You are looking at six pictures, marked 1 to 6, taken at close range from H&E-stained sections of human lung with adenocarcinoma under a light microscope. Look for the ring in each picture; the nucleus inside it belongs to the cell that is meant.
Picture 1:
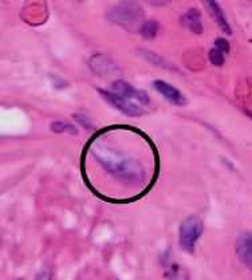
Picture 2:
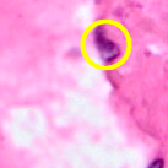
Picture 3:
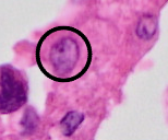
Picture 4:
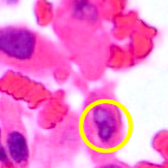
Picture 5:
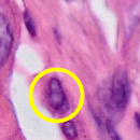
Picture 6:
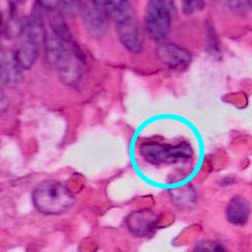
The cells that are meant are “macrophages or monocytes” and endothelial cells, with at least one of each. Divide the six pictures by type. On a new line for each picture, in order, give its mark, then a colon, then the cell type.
1: endothelial cell
2: endothelial cell
3: macrophage or monocyte
4: macrophage or monocyte
5: macrophage or monocyte
6: macrophage or monocyte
